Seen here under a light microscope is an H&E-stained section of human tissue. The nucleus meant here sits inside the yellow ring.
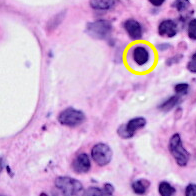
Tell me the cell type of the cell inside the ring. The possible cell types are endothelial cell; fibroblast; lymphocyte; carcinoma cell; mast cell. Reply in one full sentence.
This is a lymphocyte.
